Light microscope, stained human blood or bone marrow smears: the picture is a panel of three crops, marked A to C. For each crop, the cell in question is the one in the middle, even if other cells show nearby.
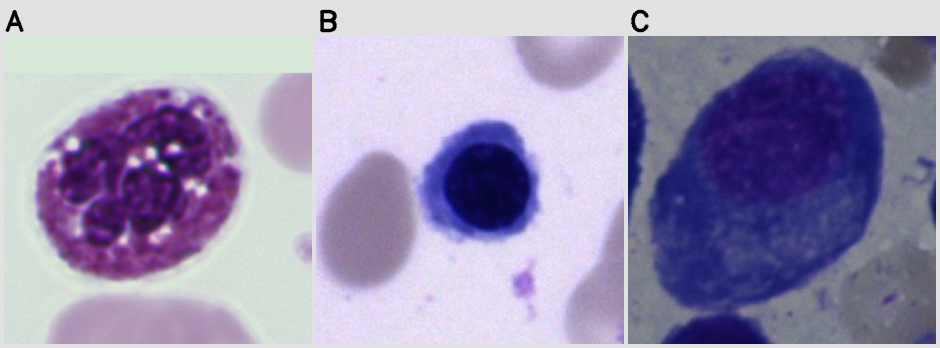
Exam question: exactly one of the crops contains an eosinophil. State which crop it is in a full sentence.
Of the cells presented, the one in crop A is an eosinophil.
